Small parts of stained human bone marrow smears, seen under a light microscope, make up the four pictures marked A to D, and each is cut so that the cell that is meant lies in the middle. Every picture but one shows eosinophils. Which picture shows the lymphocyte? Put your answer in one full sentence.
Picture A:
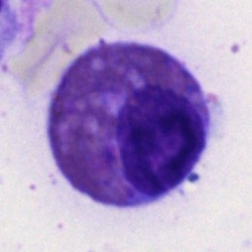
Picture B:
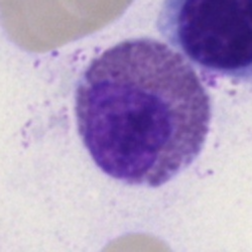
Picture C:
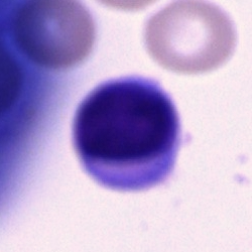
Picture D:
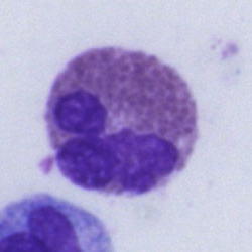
The picture with the lymphocyte is C.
